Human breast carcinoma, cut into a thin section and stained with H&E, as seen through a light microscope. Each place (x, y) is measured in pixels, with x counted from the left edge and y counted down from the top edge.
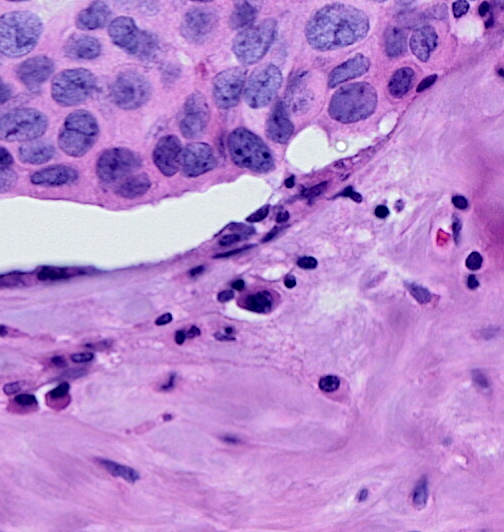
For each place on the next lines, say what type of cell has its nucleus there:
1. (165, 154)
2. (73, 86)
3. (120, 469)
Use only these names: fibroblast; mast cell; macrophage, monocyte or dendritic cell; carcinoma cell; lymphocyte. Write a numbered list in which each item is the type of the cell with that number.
1. carcinoma cell
2. carcinoma cell
3. fibroblast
